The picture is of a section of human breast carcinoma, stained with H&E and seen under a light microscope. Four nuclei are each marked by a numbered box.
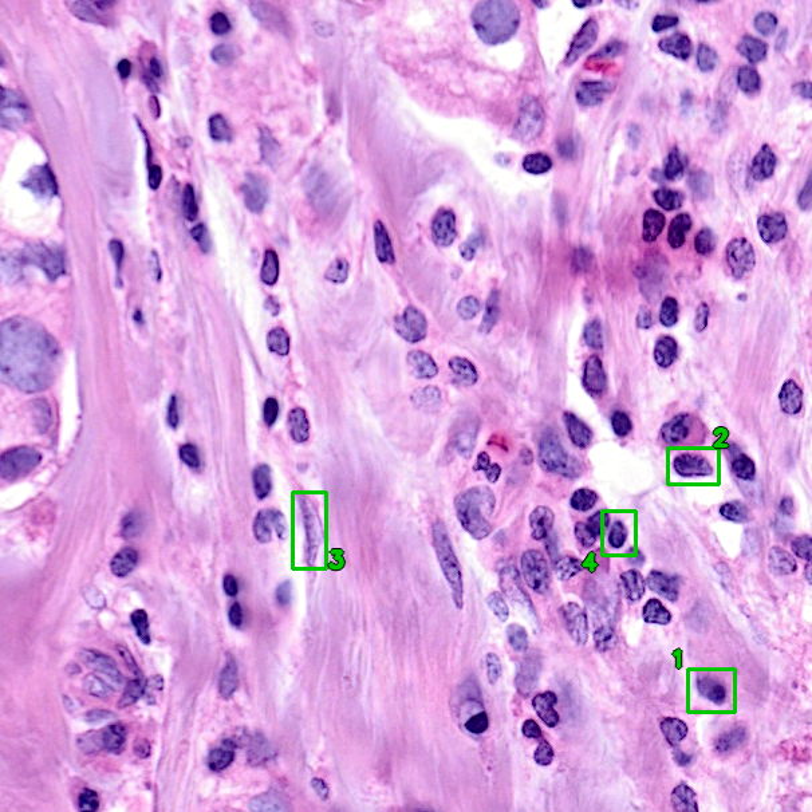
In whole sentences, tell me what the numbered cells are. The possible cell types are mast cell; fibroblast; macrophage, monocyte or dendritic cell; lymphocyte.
Cell 1 is a lymphocyte, cell 2 is a lymphocyte, cell 3 is a fibroblast and cell 4 is a lymphocyte.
